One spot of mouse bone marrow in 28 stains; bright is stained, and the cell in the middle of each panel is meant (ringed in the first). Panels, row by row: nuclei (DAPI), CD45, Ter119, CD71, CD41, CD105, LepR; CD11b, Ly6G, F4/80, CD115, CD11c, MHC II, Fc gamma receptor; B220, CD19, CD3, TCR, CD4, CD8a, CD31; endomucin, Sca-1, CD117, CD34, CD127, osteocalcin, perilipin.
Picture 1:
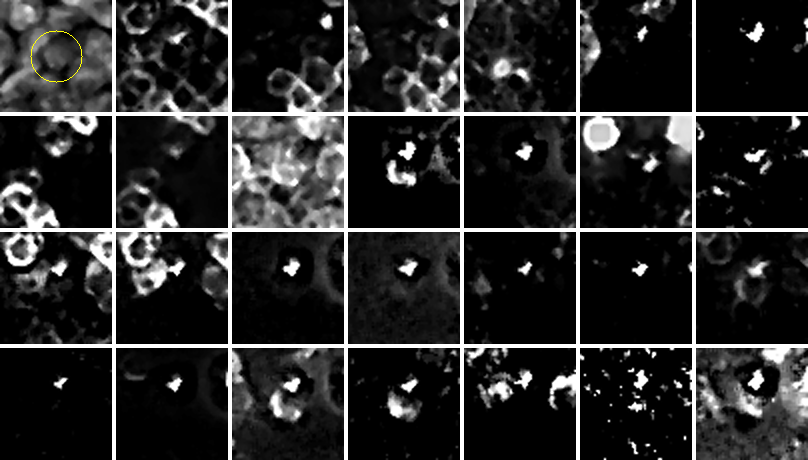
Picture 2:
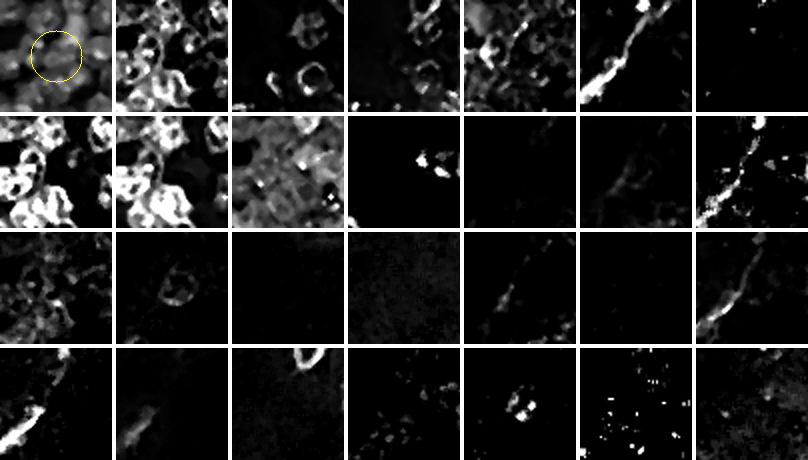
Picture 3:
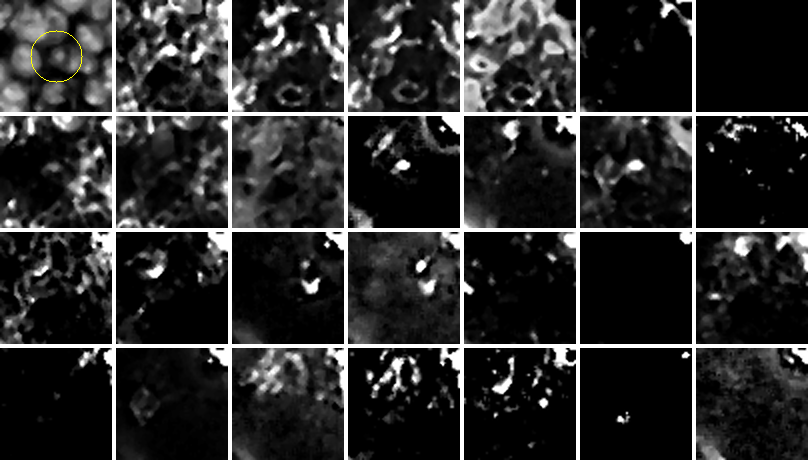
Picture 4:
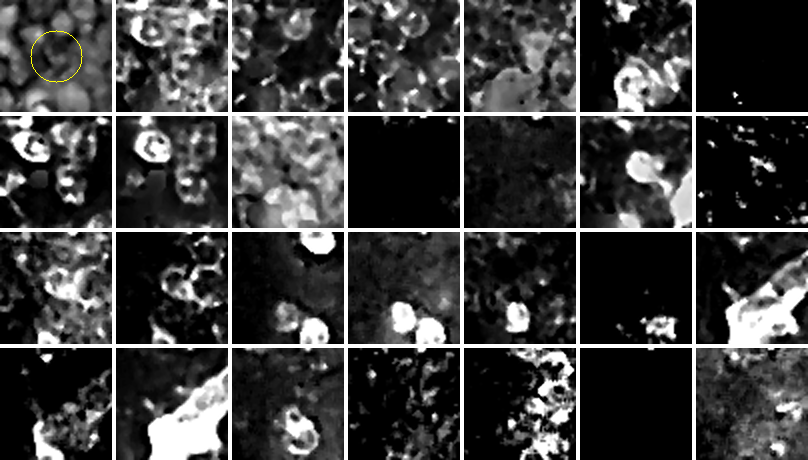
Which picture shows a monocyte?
Picture 3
